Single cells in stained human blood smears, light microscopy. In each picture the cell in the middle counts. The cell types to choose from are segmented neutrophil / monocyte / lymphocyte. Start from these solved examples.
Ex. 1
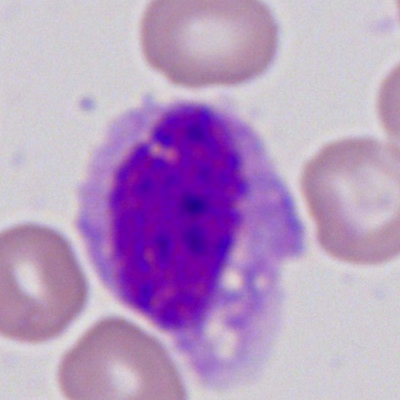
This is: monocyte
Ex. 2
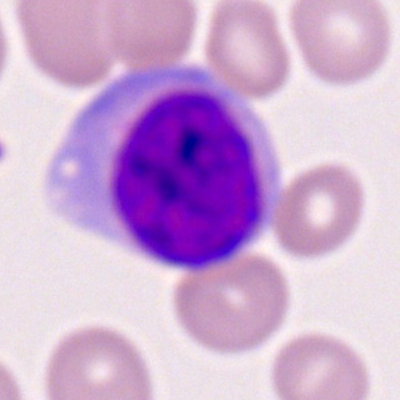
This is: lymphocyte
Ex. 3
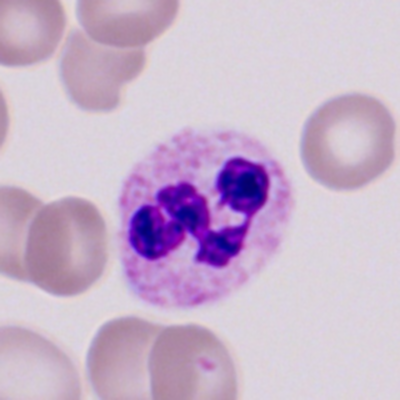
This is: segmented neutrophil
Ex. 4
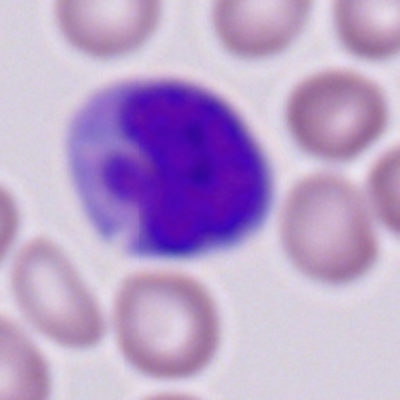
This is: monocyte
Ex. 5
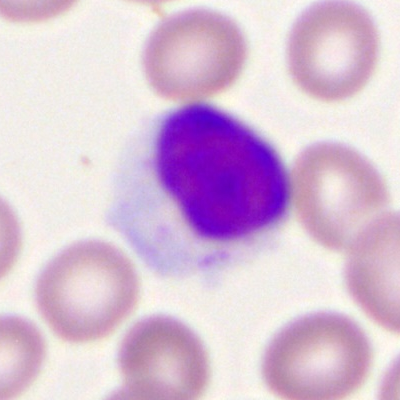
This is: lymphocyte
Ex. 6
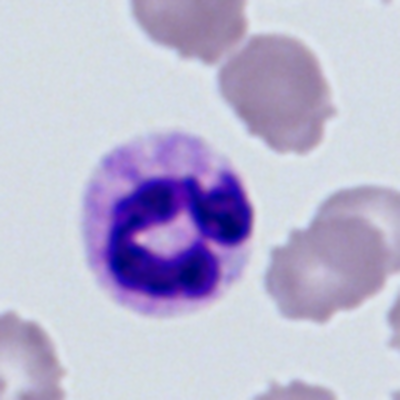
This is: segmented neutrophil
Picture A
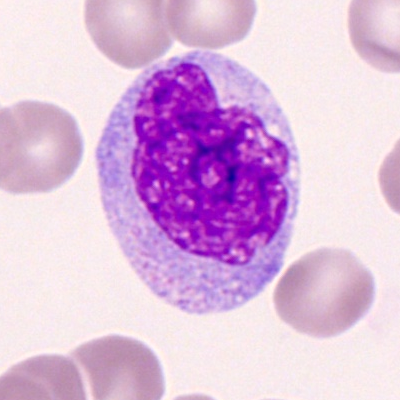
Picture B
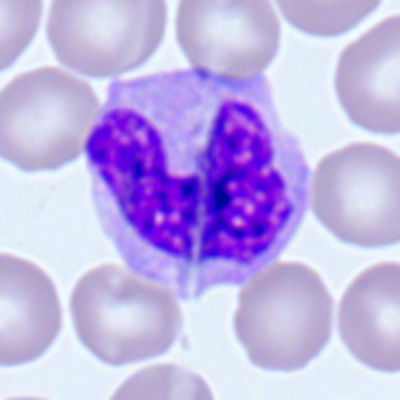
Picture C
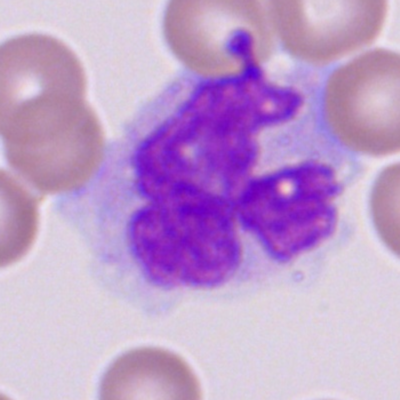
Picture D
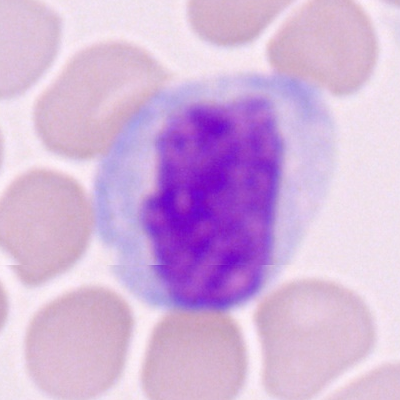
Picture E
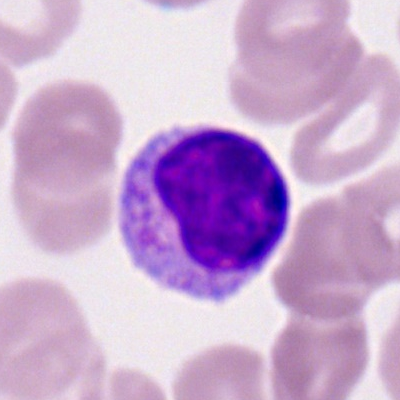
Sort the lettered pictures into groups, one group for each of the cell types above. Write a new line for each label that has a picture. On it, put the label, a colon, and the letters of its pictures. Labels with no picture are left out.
monocyte: A, B, C, D
lymphocyte: E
